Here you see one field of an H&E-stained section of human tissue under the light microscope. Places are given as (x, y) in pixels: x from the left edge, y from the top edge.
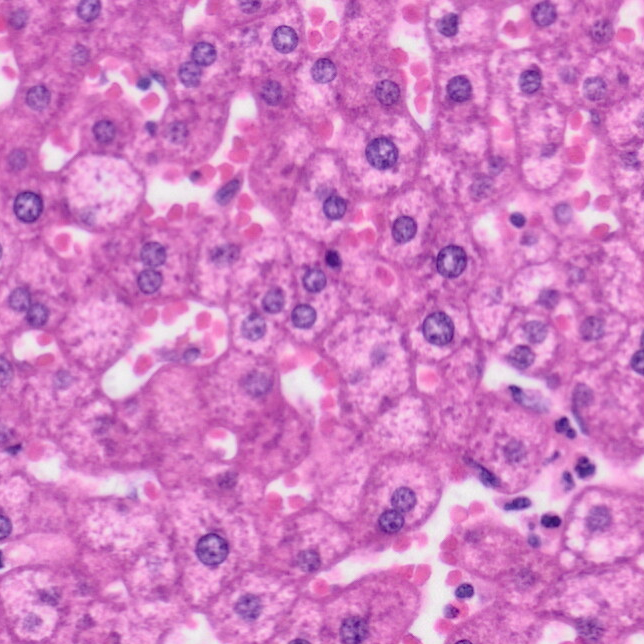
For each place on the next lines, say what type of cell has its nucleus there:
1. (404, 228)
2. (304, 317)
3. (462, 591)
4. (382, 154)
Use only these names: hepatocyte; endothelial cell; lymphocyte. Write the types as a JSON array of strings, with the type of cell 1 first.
["hepatocyte", "hepatocyte", "lymphocyte", "hepatocyte"]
